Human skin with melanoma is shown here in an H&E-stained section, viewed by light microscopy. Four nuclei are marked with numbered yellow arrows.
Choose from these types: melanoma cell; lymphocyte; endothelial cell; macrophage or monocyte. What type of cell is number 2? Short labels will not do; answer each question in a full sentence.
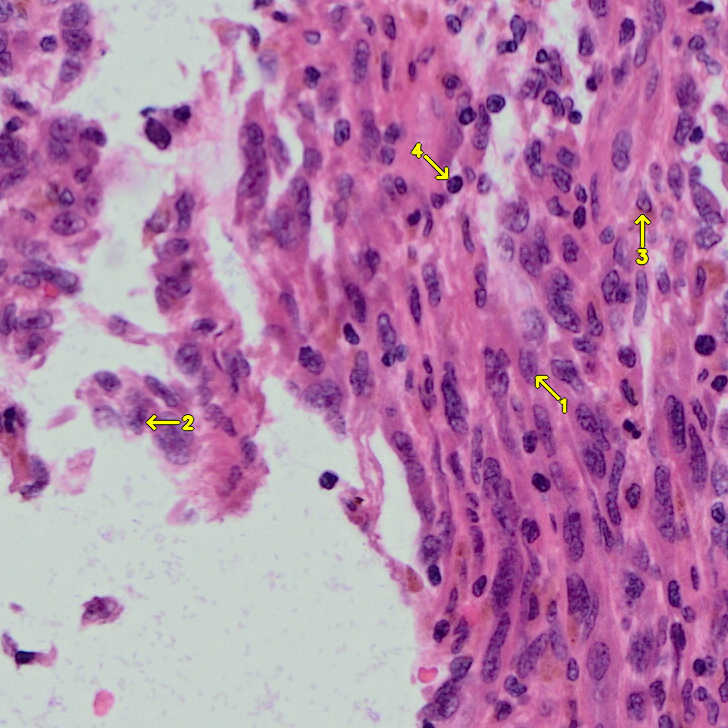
Numbered cell 2 is a melanoma cell in this tissue section.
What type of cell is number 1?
Cell 1, among those numbered, is a melanoma cell.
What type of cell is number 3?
The cell identified by the number 3 is a macrophage or monocyte.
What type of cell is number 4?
Cell number 4 in this section is a lymphocyte.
